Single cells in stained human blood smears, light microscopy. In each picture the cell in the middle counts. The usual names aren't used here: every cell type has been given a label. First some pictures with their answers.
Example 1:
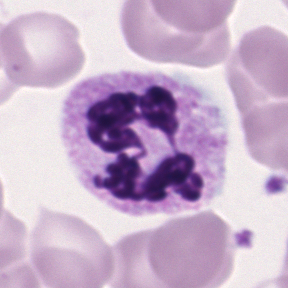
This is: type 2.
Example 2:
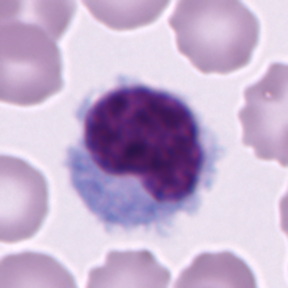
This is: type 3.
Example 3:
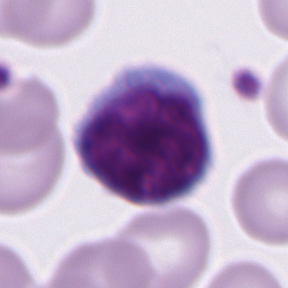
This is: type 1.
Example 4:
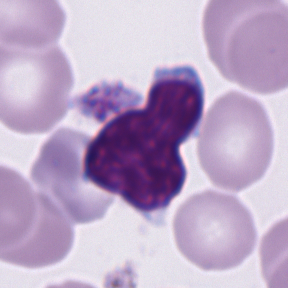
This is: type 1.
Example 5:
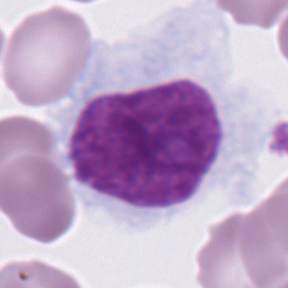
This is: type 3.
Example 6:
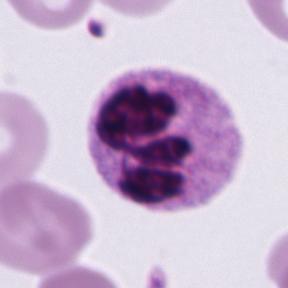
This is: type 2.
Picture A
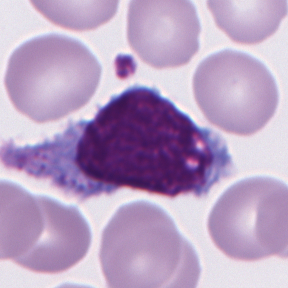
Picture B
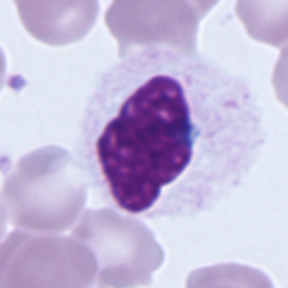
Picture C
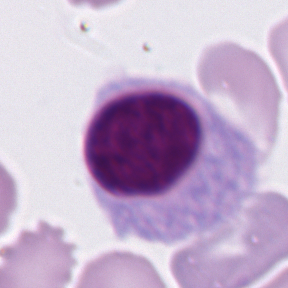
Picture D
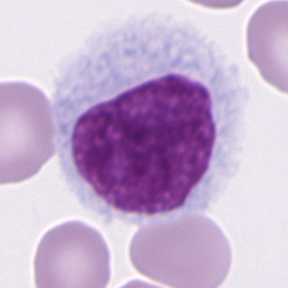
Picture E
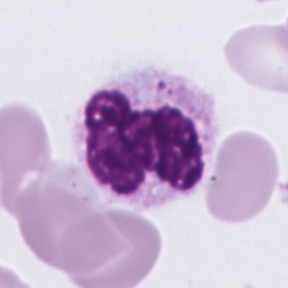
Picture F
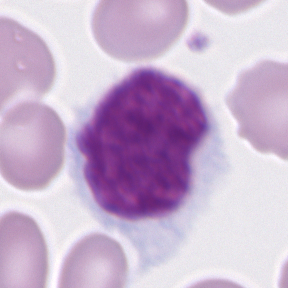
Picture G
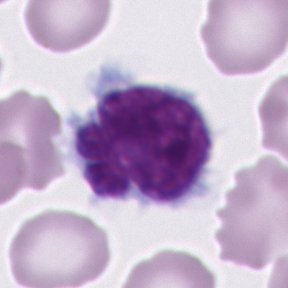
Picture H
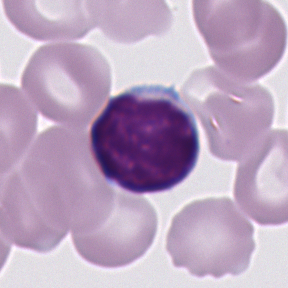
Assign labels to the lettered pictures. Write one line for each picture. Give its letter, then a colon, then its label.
A: type 1.
B: type 2.
C: type 3.
D: type 3.
E: type 2.
F: type 3.
G: type 3.
H: type 1.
